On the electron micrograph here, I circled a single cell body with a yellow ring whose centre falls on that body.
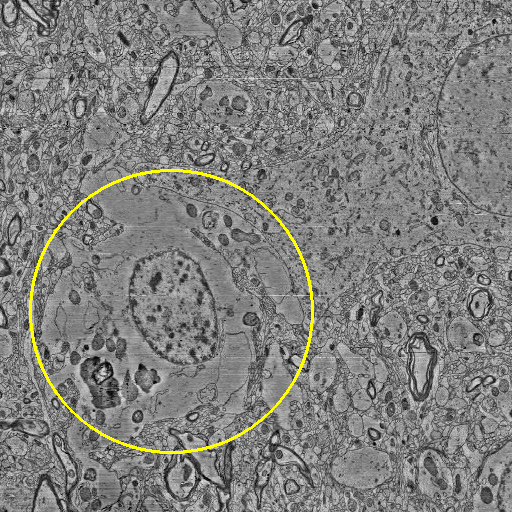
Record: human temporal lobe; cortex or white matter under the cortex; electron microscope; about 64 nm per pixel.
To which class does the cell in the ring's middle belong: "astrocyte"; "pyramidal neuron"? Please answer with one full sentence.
In this picture, the cell body circled at the ring's centre belongs to an astrocyte.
